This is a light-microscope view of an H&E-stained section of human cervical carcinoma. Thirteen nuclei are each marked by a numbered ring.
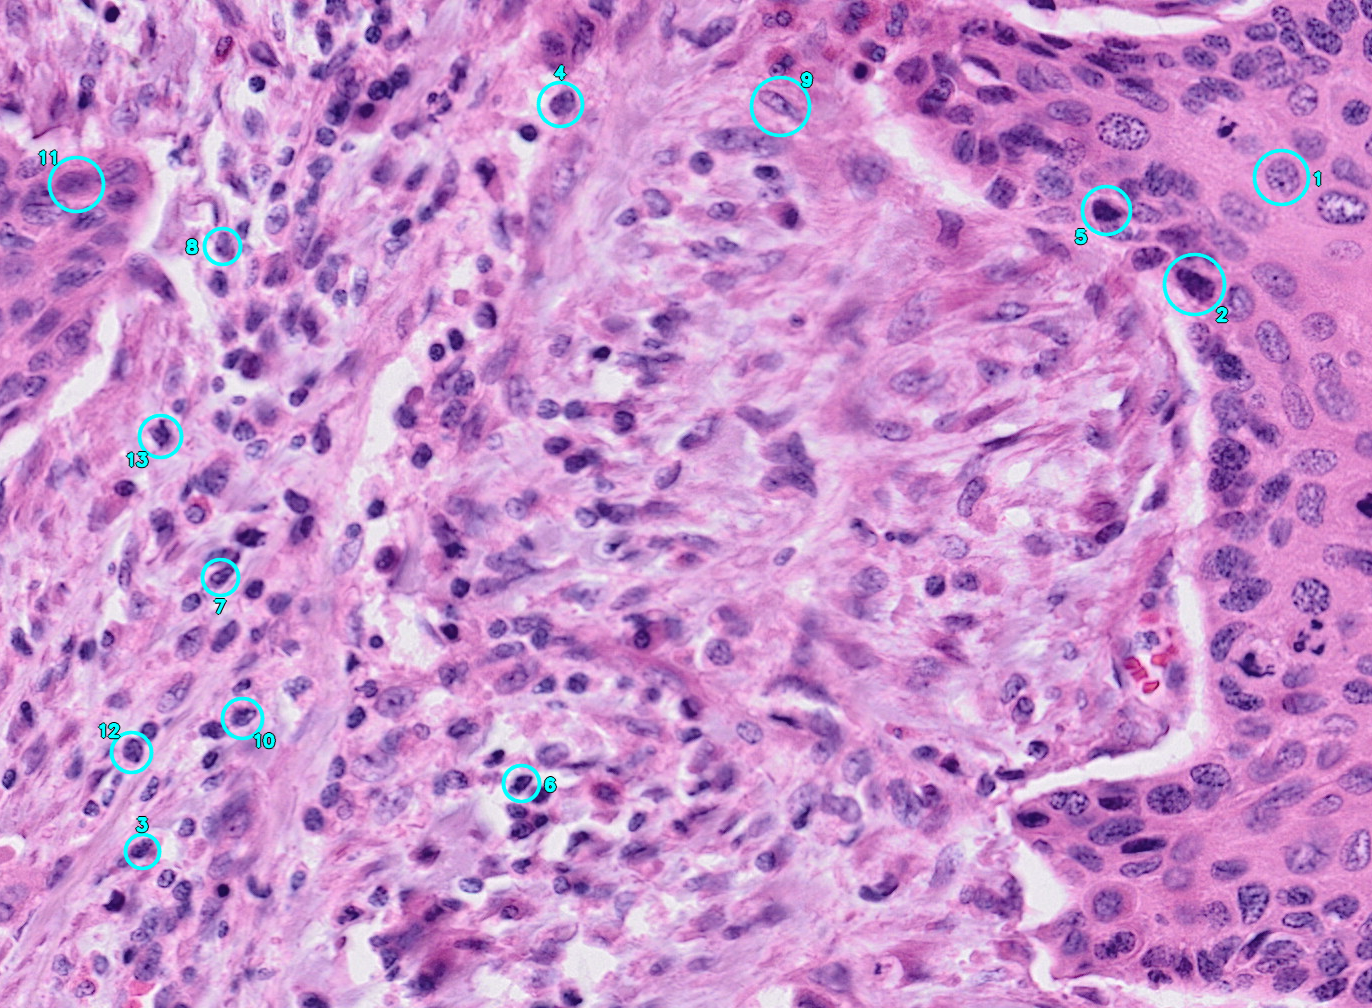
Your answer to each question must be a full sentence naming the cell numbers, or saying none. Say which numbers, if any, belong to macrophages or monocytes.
The cells assigned the numbers 4 and 8 are macrophages or monocytes.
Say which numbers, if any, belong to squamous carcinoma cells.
The cells with the number labels 1, 2, 5 and 11 are squamous carcinoma cells.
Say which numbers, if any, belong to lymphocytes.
Cells numbered 3, 6, 7, 10, 12 and 13 belong to the group of lymphocytes.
